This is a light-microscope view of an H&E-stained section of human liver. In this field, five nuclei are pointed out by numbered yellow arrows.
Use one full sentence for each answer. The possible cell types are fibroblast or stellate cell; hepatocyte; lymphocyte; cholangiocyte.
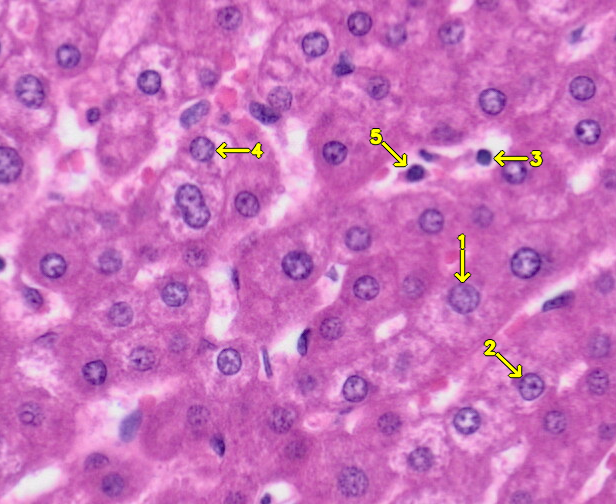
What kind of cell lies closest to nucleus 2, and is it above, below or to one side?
It is a hepatocyte, whose nucleus lies below and to the right of nucleus 2.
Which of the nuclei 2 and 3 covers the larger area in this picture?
At about 2 times the area of nucleus 3, nucleus 2 is the larger of the two.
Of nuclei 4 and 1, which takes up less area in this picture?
The smaller nucleus is 4, and 1 covers roughly 1.5 times its area.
